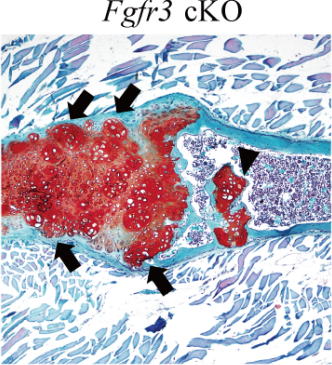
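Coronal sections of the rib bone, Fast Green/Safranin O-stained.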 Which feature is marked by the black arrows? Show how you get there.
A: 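Rounded groups of large, pale, swollen cells in red-stained matrix.
Conclusion: hypertrophic chondrocyte clusters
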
